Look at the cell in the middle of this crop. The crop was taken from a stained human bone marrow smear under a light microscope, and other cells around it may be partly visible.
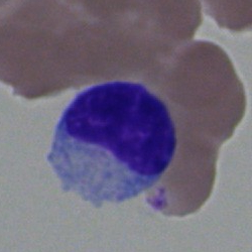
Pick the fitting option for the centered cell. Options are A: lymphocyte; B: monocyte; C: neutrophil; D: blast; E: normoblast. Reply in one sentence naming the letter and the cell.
The cell in the middle is correctly identified as a lymphocyte in option A.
